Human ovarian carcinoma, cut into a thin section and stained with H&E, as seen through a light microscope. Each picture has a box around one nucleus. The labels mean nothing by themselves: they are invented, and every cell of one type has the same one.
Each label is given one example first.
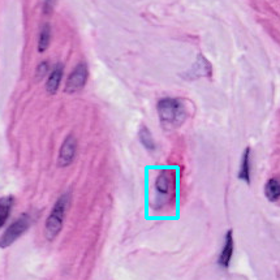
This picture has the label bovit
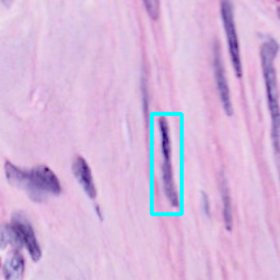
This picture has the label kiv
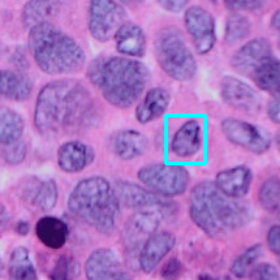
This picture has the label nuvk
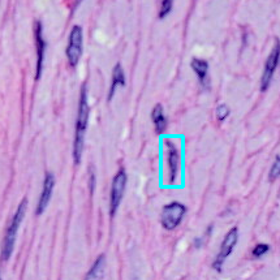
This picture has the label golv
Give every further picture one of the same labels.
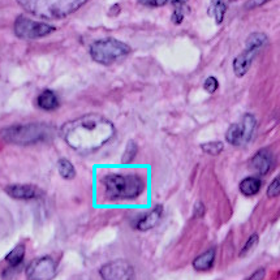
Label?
nuvk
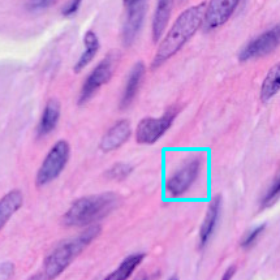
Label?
kiv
